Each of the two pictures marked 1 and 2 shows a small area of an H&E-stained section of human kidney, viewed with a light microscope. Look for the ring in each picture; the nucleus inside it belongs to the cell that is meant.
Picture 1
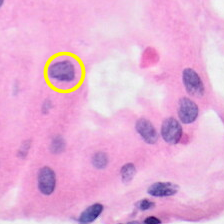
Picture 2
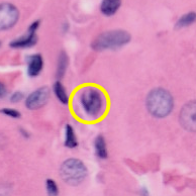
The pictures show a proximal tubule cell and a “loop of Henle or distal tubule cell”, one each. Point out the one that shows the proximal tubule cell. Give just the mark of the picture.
1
